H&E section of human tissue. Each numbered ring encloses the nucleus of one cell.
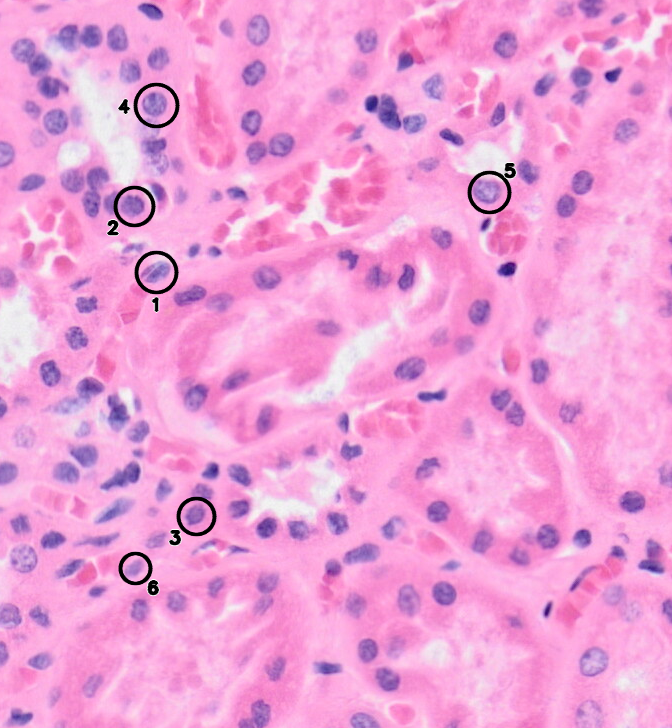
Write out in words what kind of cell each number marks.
Cells 1 and 6 are endothelial cells. Cells 2 and 4 are collecting duct cells. Cells 3 and 5 are loop of Henle or distal tubule cells.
